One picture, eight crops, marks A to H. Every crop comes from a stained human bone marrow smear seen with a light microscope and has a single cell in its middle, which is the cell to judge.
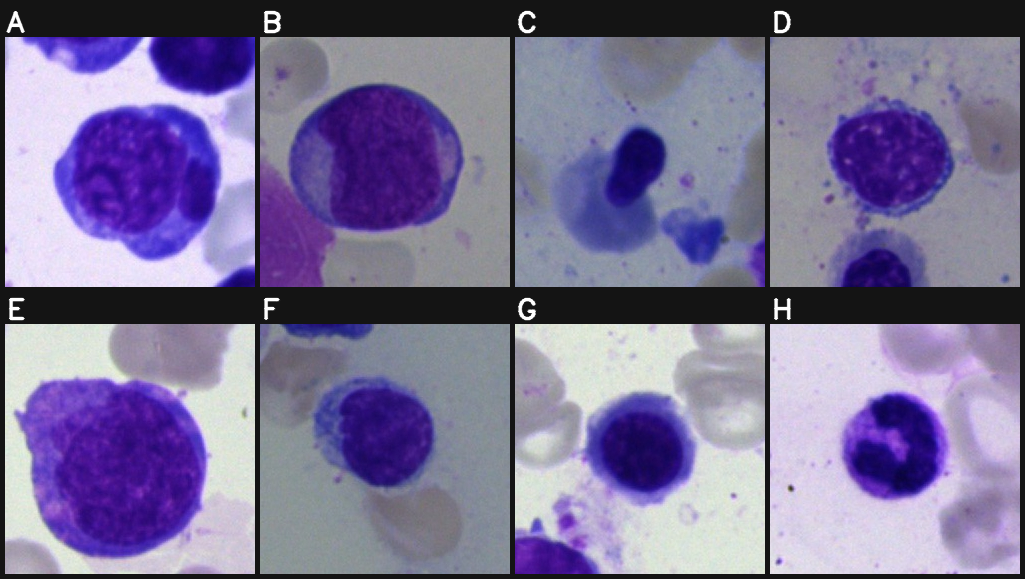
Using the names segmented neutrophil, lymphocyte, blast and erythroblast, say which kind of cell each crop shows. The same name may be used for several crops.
A: blast
B: blast
C: erythroblast
D: lymphocyte
E: blast
F: lymphocyte
G: erythroblast
H: segmented neutrophil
